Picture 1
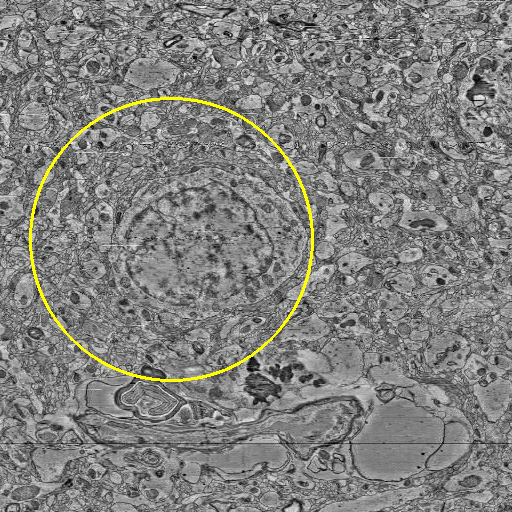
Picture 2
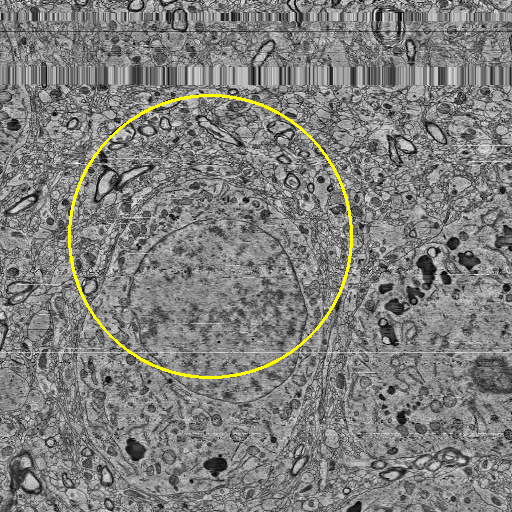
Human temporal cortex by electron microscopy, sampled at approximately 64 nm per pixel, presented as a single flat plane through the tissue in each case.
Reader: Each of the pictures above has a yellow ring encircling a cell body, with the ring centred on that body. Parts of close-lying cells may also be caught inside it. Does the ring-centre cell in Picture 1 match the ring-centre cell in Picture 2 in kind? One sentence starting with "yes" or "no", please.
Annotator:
Yes, Picture 1 and Picture 2 show ring-centre cells of a single kind.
